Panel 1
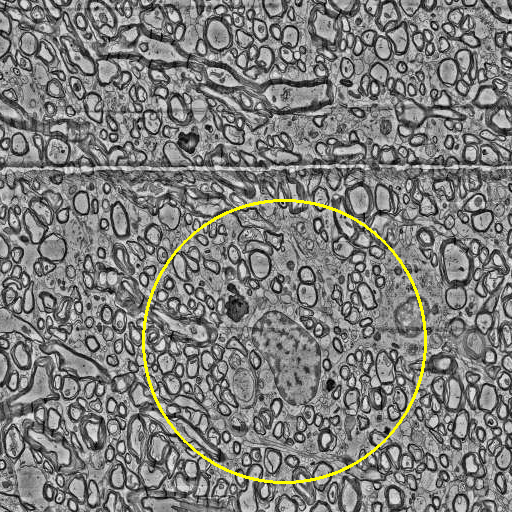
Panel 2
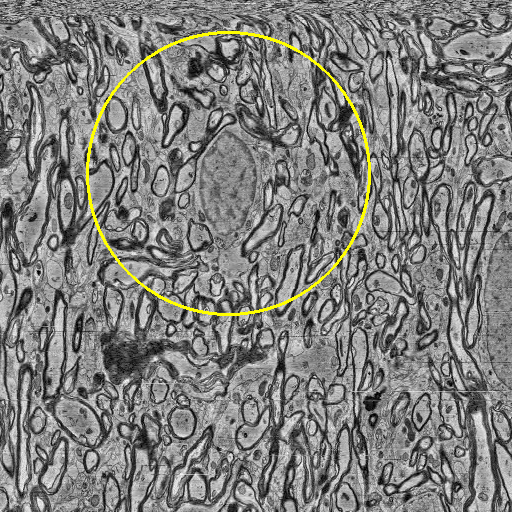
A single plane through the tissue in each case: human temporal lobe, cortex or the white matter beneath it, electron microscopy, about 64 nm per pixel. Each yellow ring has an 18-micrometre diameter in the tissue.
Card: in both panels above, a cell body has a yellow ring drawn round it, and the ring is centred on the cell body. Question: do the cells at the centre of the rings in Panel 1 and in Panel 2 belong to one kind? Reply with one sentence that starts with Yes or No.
No, the cells centred in the rings of Panel 1 and Panel 2 are two kinds of cell.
